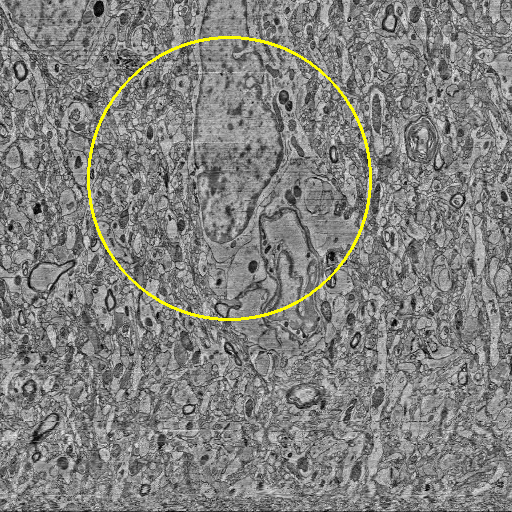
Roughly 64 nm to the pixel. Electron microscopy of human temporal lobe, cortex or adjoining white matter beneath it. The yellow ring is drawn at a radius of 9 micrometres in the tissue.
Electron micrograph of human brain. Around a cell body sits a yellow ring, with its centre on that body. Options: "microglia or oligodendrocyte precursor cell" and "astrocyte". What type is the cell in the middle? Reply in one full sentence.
The cell sitting at the centre of the yellow ring is a microglial cell or oligodendrocyte precursor cell.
